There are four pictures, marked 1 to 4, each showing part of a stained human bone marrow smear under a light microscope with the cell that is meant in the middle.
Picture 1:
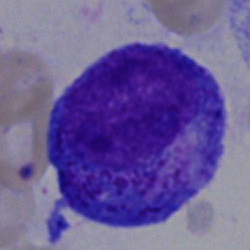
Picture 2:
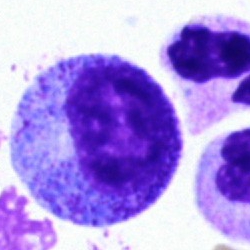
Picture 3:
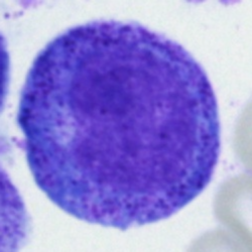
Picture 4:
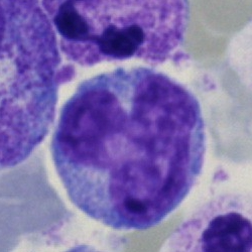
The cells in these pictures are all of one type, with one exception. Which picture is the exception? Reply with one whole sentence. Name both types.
All pictures except 4 show promyelocytes; picture 4 shows a monocyte.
